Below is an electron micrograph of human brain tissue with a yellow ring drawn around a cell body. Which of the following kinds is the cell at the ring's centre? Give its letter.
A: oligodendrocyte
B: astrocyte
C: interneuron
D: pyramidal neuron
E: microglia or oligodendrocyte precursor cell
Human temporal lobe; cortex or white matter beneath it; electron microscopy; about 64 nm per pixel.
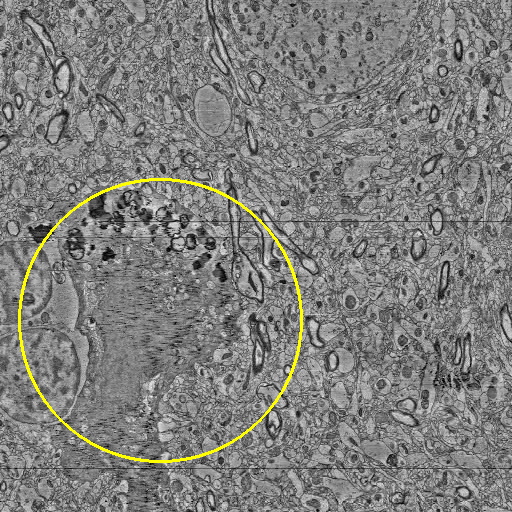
D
